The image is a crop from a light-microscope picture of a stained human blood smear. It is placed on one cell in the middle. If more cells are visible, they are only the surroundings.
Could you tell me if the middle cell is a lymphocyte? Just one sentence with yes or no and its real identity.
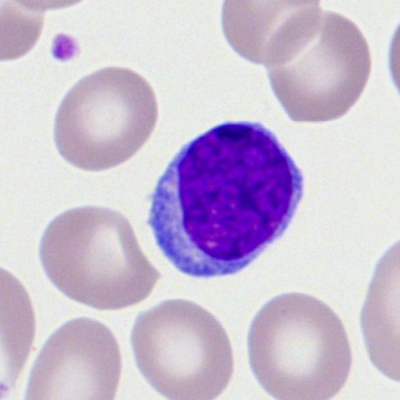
Yes, the cell shown centrally is a lymphocyte.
